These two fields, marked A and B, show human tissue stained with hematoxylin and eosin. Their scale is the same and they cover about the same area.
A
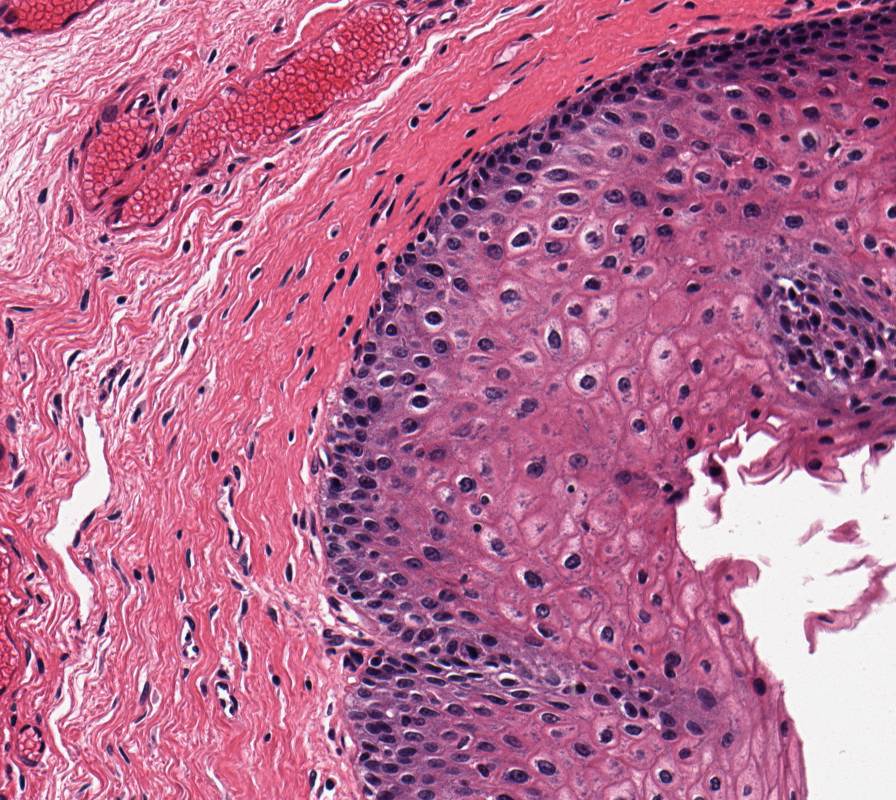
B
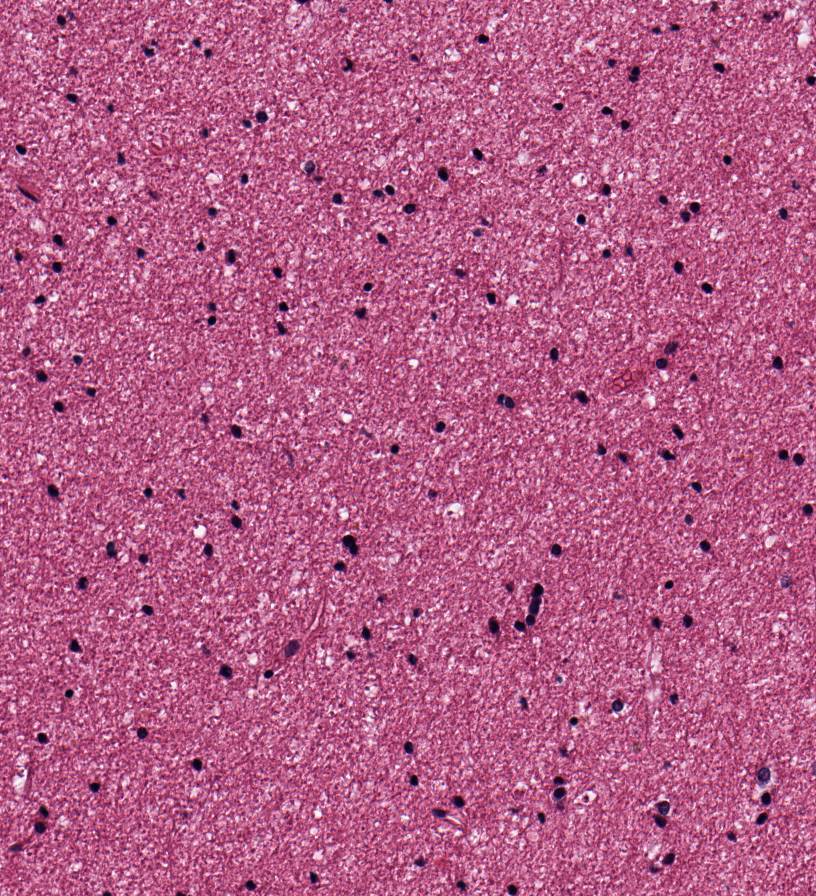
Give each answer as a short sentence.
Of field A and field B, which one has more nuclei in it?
It is field A that has more nuclei in it.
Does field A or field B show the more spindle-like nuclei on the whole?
Longer, more slender nuclei lie in field A.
